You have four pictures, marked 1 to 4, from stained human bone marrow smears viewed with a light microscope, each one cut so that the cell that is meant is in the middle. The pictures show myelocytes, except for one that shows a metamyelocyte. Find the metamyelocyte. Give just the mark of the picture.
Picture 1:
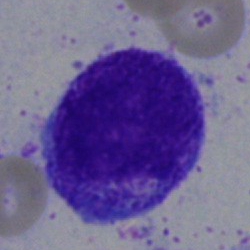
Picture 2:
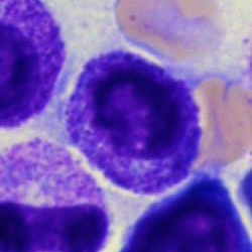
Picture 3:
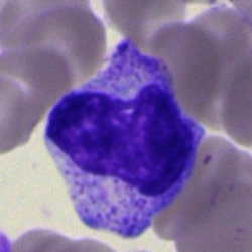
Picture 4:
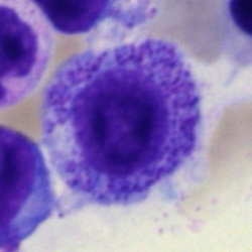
3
